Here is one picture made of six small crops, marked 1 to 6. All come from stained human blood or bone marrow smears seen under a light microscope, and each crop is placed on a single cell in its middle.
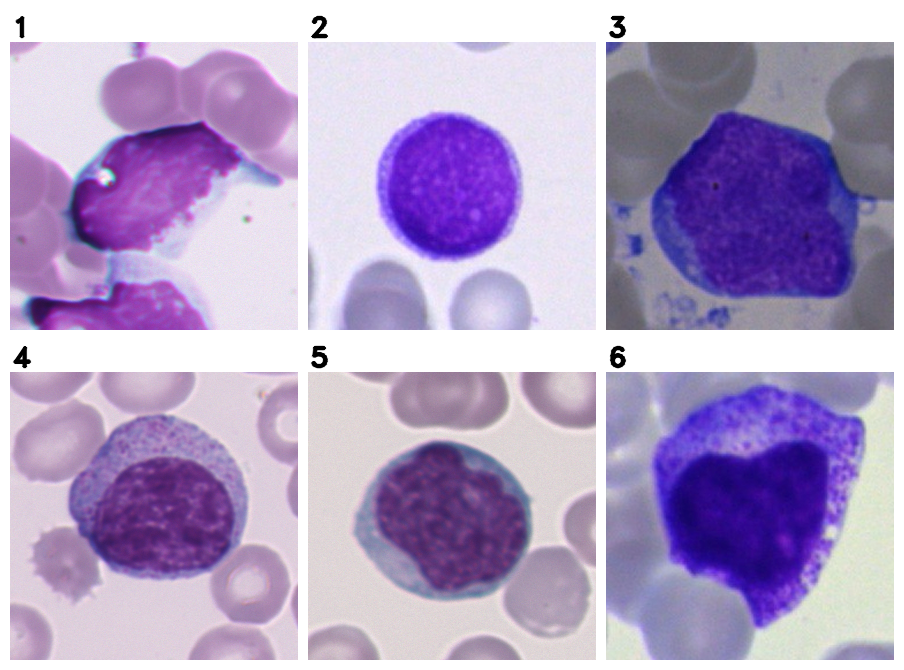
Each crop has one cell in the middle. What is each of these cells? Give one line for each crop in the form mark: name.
1: lymphocyte
2: blast
3: blast
4: promyelocyte
5: blast
6: promyelocyte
